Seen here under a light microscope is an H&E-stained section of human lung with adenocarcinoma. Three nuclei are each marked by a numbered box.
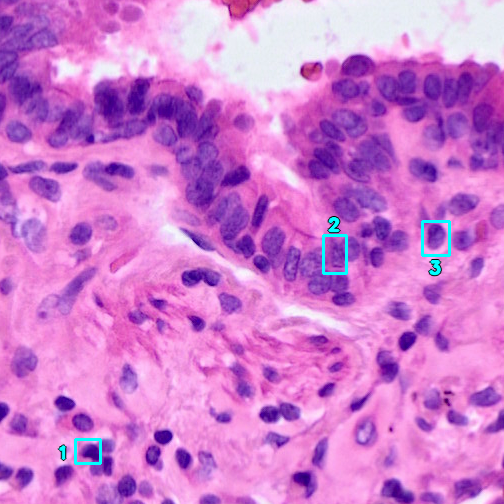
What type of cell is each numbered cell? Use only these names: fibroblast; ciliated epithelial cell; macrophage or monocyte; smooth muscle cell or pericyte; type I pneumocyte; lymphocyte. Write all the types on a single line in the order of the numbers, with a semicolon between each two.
lymphocyte; ciliated epithelial cell; lymphocyte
